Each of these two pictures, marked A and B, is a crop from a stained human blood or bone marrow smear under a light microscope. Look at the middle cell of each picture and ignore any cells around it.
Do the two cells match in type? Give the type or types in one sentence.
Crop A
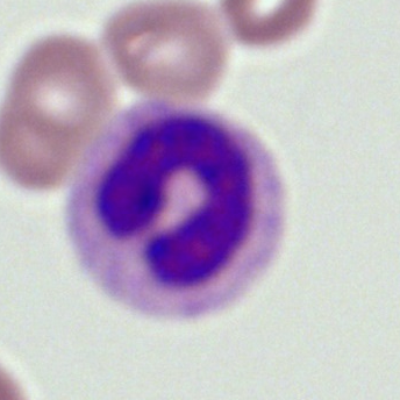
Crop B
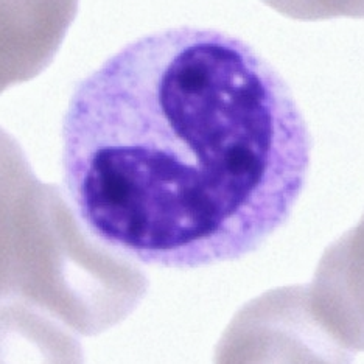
Yes, the centre of both crops is taken up by band neutrophils.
